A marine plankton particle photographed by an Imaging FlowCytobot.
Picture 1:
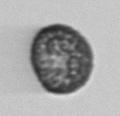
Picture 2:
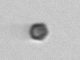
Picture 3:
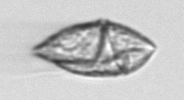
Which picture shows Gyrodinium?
Picture 3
